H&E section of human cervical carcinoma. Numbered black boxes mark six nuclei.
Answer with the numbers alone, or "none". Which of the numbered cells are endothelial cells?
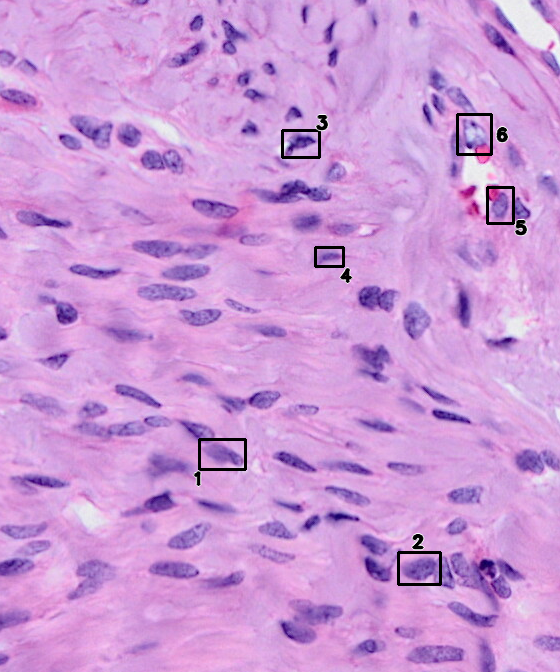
5, 6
